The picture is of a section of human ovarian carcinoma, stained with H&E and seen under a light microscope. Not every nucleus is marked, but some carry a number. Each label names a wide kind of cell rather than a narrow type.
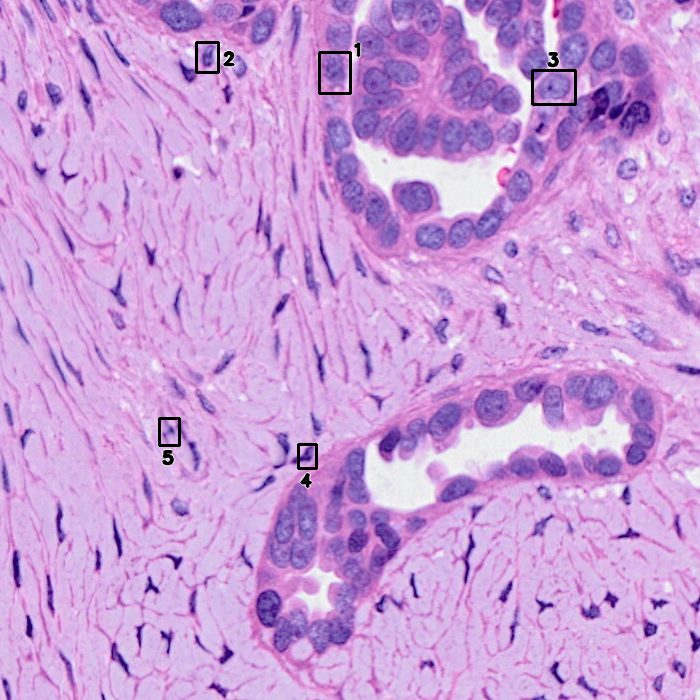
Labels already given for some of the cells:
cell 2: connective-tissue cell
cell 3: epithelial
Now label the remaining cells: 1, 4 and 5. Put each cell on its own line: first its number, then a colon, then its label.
1: epithelial
4: connective-tissue cell
5: connective-tissue cell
